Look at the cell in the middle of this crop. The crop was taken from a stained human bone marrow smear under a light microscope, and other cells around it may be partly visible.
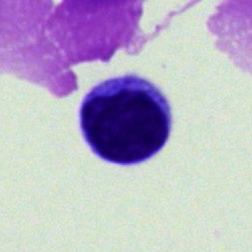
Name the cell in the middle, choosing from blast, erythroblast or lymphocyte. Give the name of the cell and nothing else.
lymphocyte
